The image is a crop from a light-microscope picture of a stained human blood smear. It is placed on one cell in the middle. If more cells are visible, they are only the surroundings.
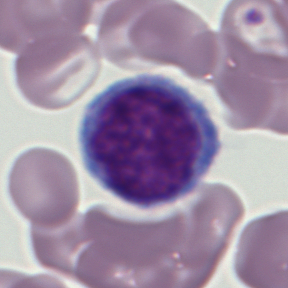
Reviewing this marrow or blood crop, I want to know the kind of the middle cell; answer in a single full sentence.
The crop centres on a single cell, and that cell is a monocyte.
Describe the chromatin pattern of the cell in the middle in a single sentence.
The chromatin of this one is coarsely clumped.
